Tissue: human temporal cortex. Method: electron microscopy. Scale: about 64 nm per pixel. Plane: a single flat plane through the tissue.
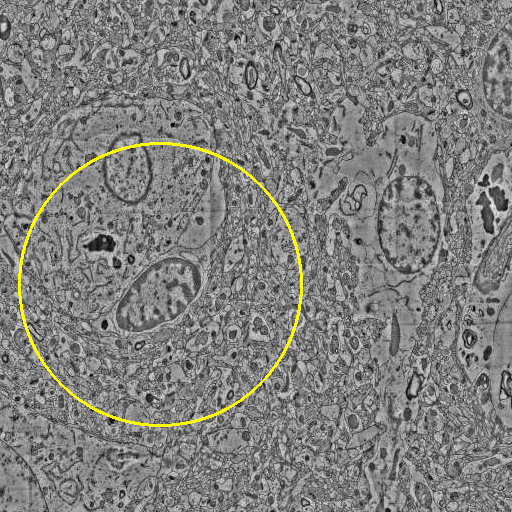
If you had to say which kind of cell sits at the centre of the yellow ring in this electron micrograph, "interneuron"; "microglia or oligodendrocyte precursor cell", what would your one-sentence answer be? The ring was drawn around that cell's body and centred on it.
The cell sitting at the centre of the ring is a microglial cell or oligodendrocyte precursor cell.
